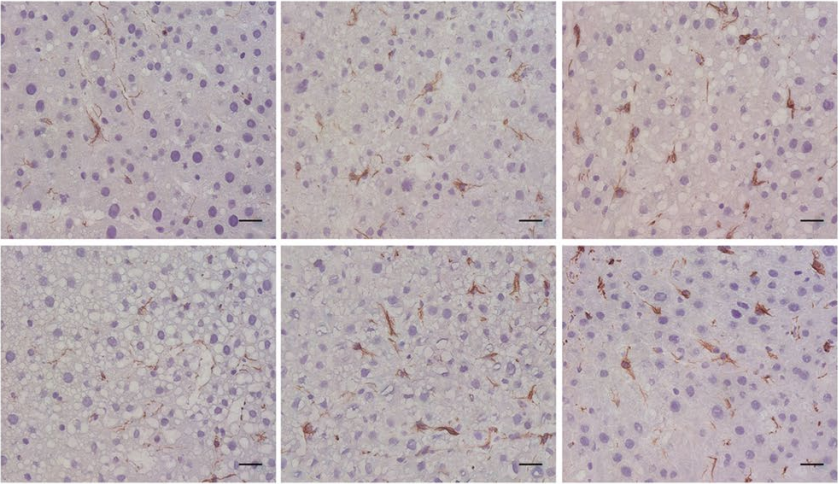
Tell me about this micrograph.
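Scattered between these cells lie small brown-stained cells. They are elongated or stellate, with thin branching processes that follow the narrow spaces between the plates of large cells.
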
